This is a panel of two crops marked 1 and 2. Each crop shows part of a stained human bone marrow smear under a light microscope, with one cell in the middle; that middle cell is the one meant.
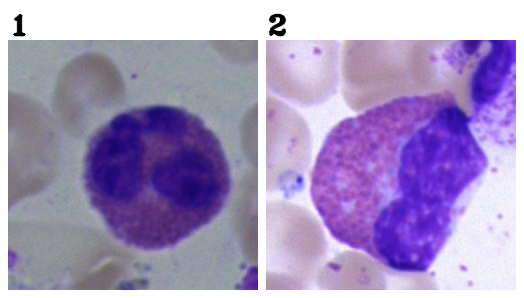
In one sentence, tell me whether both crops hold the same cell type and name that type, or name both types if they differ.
Yes, eosinophils lie at the centre of both crops.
